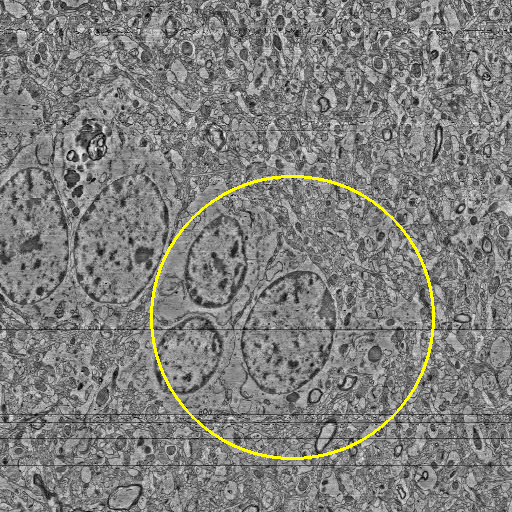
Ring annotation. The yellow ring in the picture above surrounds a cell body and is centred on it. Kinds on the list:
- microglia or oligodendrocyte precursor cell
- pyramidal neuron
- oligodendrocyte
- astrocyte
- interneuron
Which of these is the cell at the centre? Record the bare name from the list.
astrocyte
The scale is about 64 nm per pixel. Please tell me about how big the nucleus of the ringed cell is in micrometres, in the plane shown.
The nucleus has a long axis of about 8 micrometres and a short axis of about 6 micrometres in this plane.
